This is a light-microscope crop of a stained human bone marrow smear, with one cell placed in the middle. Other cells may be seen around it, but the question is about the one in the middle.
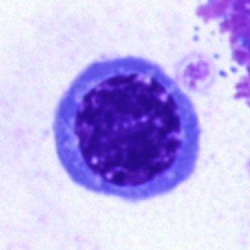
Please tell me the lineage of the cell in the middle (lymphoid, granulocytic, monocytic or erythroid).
erythroid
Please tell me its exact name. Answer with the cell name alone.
erythroblast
